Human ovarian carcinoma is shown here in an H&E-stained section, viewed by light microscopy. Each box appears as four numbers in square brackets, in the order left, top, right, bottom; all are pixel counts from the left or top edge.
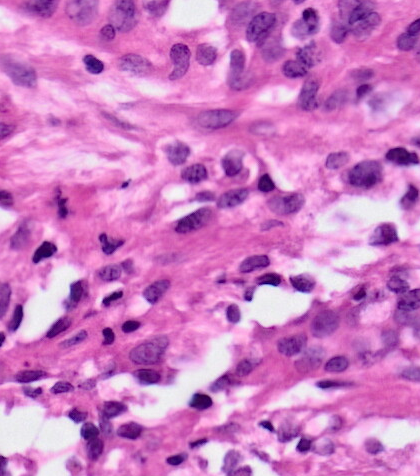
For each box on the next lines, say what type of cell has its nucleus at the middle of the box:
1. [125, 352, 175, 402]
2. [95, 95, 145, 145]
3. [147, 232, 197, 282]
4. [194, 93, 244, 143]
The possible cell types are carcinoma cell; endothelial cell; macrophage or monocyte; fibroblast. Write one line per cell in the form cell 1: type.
cell 1: carcinoma cell
cell 2: fibroblast
cell 3: fibroblast
cell 4: endothelial cell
